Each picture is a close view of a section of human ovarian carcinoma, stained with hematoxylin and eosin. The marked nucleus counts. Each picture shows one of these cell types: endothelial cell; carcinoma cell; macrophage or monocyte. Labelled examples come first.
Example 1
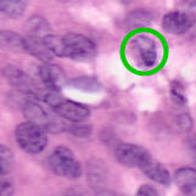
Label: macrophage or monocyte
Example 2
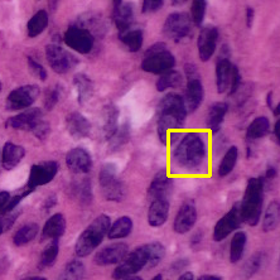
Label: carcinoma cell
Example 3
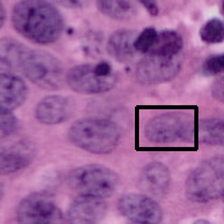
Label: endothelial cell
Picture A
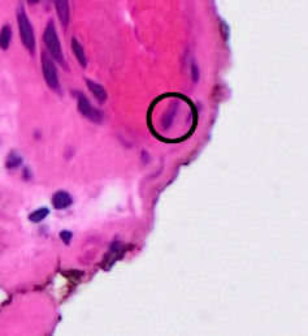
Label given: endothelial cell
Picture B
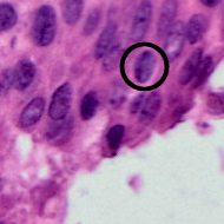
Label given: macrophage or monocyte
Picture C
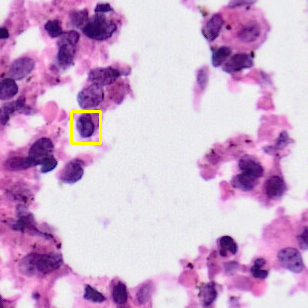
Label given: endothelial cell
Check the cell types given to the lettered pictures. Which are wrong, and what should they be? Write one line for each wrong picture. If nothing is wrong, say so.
C: change endothelial cell to macrophage or monocyte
